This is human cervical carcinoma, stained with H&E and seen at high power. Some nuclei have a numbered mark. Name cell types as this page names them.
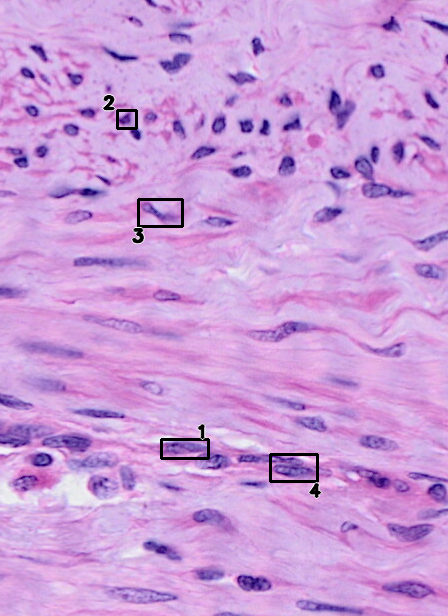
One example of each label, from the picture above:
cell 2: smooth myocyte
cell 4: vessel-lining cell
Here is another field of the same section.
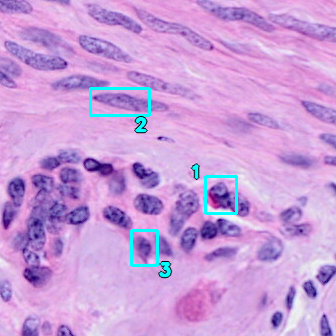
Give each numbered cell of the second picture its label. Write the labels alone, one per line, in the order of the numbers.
vessel-lining cell
smooth myocyte
vessel-lining cell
